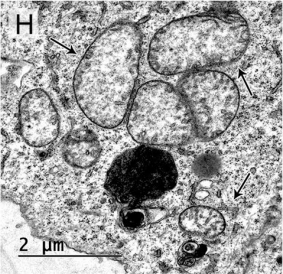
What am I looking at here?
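Transmission electron micrograph of cytoplasm containing swollen mitochondria. Several large, rounded mitochondria have a pale, washed-out matrix with only sparse, fragmented cristae. A dark, dense body and a layered membranous structure lie nearby in the granular cytoplasm.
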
